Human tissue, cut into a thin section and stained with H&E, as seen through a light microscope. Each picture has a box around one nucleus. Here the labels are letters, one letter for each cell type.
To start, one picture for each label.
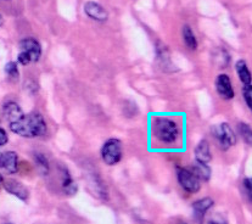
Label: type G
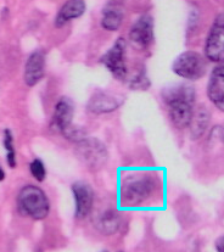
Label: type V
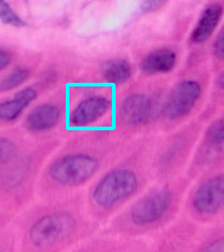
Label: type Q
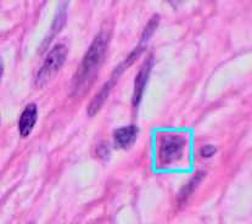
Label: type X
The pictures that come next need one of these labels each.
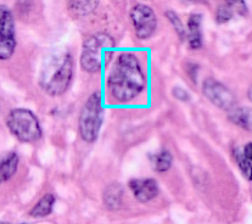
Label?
type V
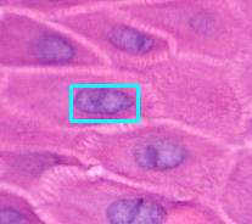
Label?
type Q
